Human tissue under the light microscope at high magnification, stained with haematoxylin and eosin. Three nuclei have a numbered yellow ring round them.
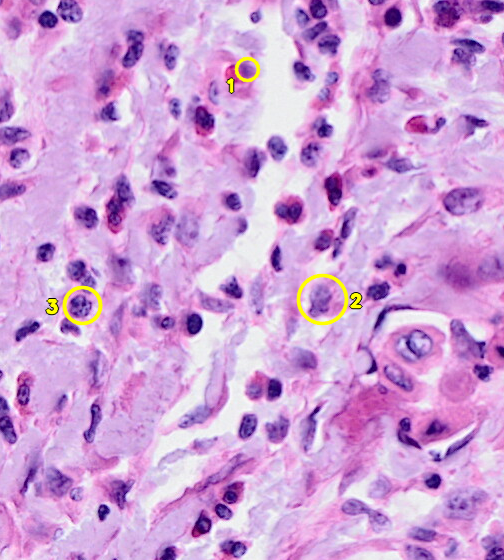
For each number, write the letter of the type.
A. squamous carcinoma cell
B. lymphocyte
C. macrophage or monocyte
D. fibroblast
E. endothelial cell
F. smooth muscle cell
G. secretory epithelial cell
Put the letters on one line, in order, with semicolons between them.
E; C; B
